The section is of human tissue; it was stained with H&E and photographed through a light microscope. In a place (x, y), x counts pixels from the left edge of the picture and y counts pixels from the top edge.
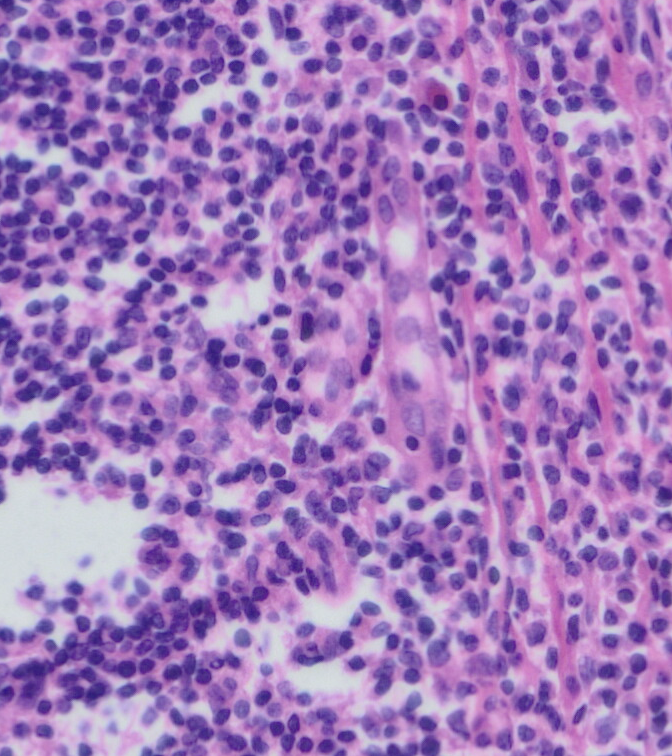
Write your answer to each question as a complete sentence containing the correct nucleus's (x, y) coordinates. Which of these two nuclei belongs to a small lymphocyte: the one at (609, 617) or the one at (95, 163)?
Of the two nuclei present, the one at (95, 163) is within a small lymphocyte.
